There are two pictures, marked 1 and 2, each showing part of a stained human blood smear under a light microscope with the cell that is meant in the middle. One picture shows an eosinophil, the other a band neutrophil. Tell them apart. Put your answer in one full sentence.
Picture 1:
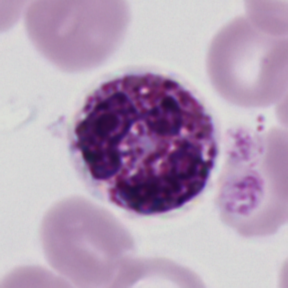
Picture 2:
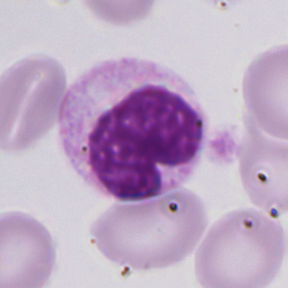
The cell in picture 1 is an eosinophil, and the one in picture 2 is a band neutrophil.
